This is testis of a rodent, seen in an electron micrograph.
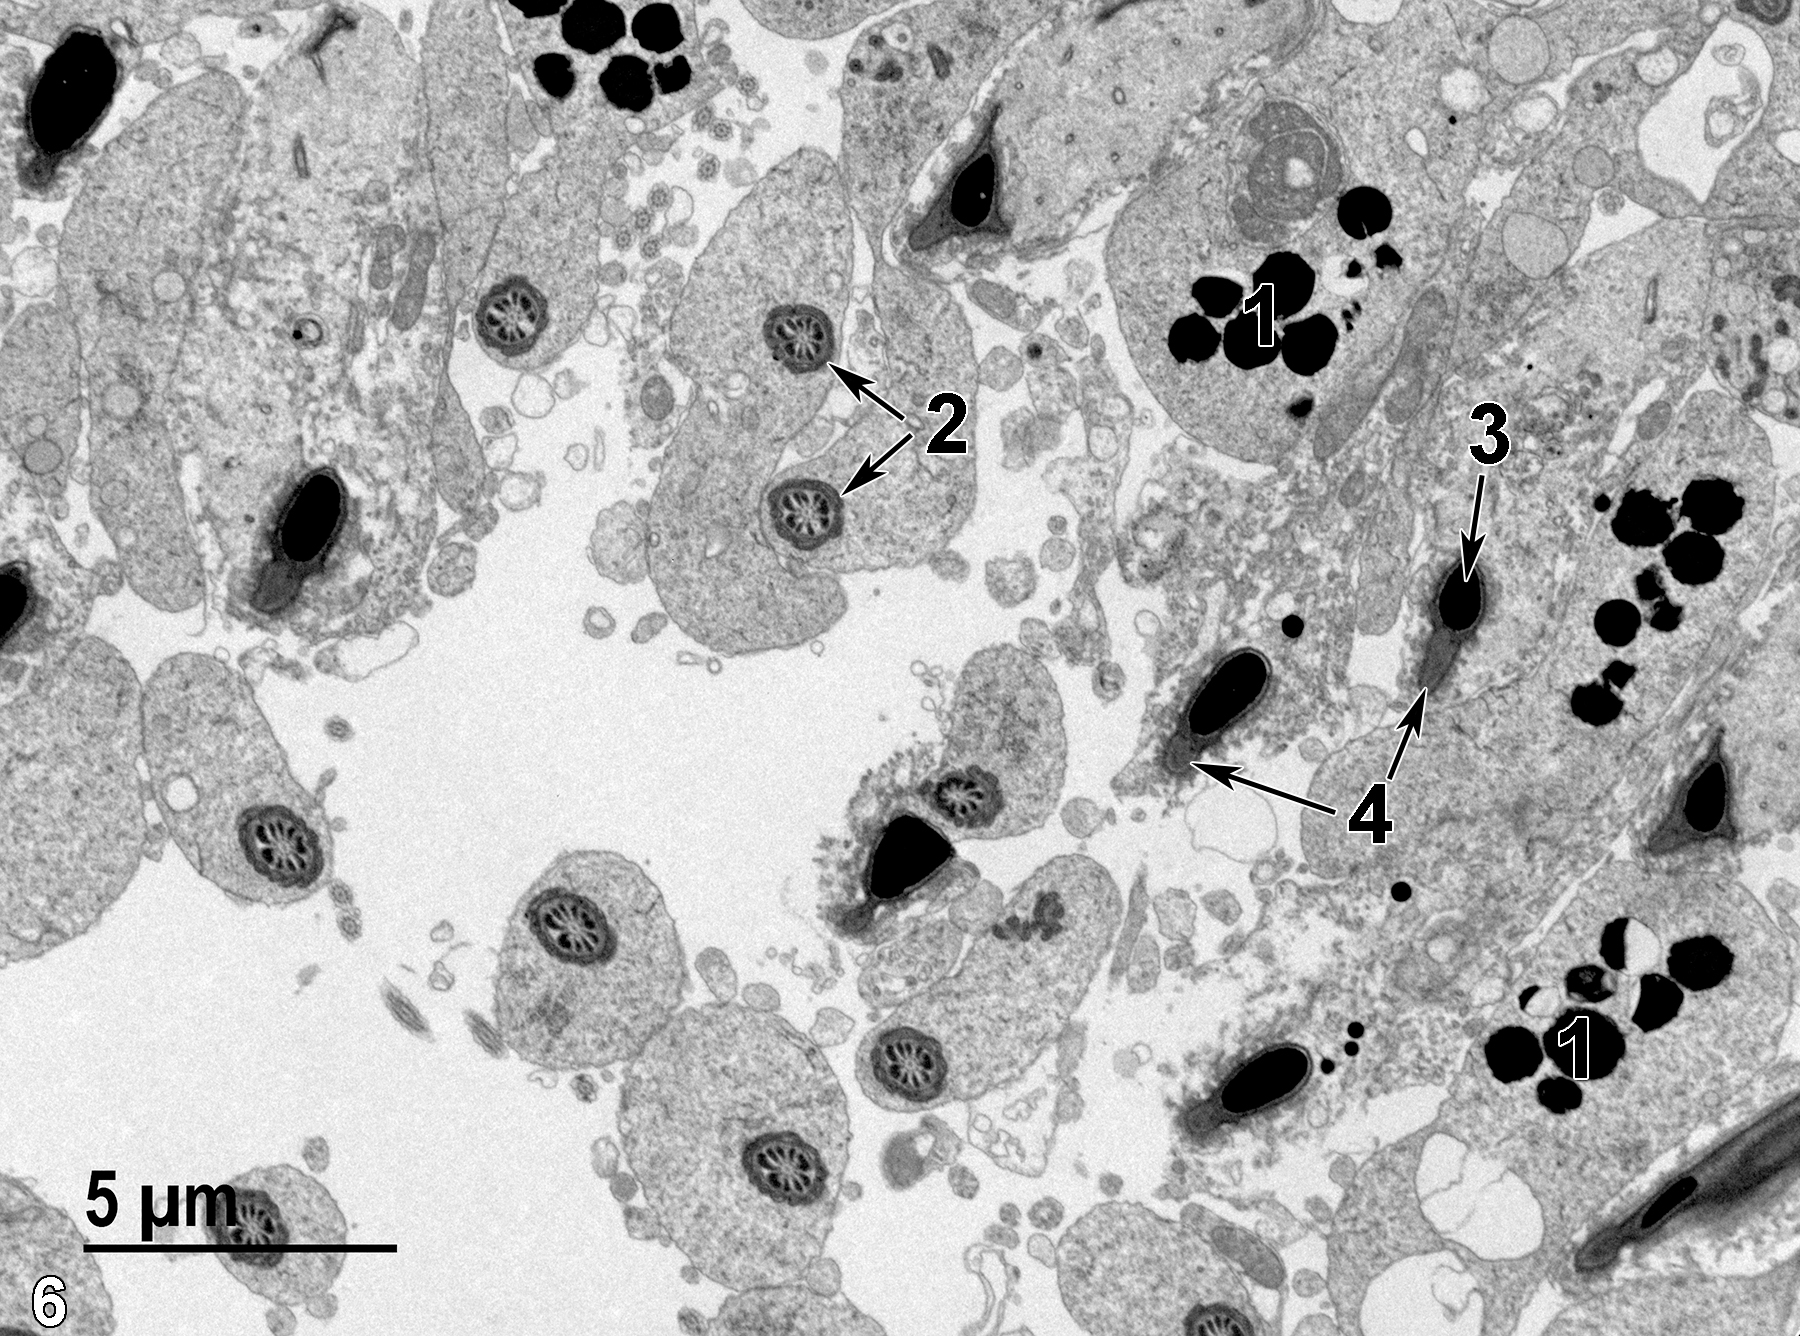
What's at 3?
The number 3 marks the spermatozoon nuclei.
